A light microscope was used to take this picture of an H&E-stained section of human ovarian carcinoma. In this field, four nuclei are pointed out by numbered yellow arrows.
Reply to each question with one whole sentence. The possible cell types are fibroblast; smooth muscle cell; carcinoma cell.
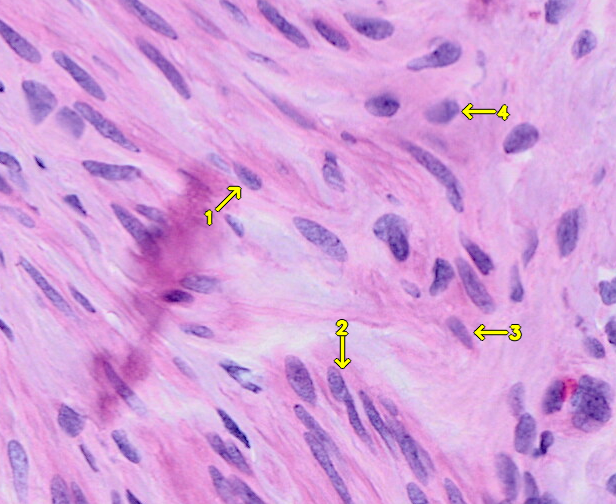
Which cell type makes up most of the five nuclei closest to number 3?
The majority of the five nuclei closest to number 3 belong to smooth muscle cells.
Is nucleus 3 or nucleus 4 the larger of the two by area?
Of the two, number 4 is bigger and takes up about 1.5 times the area of number 3.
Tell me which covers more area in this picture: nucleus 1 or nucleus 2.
Number 2 is larger; its area is about 1.5 times that of number 1.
